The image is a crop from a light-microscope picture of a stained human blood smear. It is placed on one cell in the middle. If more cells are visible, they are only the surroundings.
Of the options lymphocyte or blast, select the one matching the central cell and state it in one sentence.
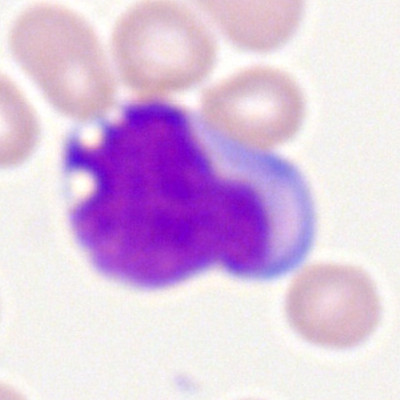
The target cell in the middle of the crop is a blast.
